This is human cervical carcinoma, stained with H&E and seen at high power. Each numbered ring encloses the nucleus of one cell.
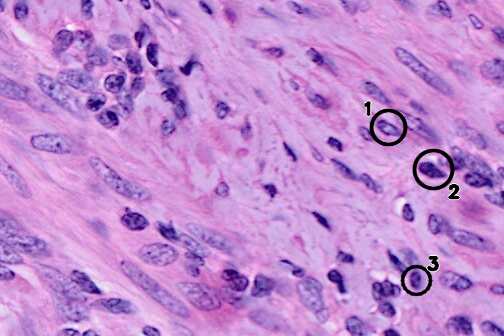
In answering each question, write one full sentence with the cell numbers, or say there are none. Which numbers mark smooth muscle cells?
Cell 1 is a smooth muscle cell; the remaining numbered cells are not.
